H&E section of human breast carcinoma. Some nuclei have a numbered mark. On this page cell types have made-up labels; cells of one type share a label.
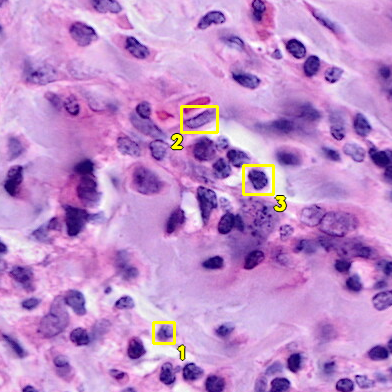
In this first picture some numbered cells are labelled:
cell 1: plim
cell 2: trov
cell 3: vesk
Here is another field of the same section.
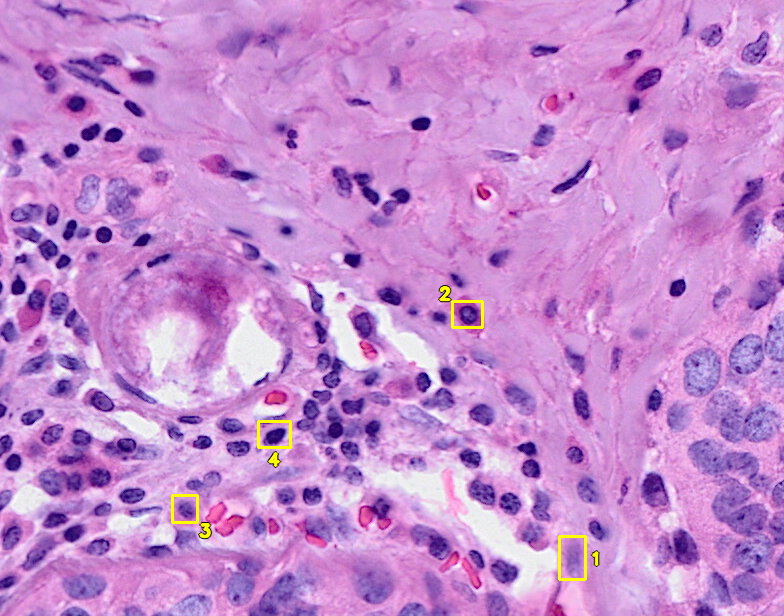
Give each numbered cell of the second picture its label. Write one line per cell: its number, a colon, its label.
1: trov
2: plim
3: plim
4: vesk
